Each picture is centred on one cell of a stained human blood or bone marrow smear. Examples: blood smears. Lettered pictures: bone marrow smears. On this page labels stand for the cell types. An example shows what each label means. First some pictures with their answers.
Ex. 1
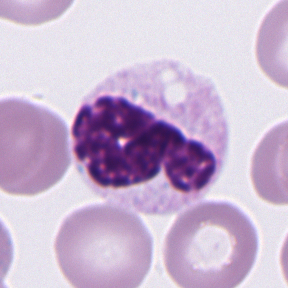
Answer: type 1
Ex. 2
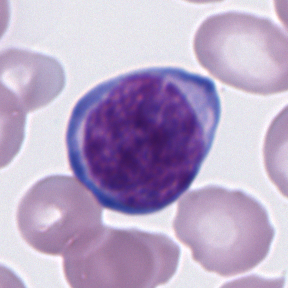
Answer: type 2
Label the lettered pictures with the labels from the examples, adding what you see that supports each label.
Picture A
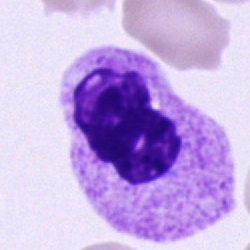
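type 1. Evidence: Fine, dust-like purple granules are scattered evenly through the cytoplasm.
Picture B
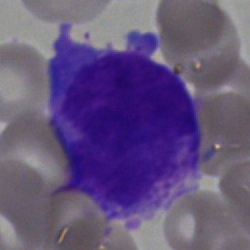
type 2. Evidence: The nucleus fills most of the cell and leaves only a narrow rim of cytoplasm.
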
